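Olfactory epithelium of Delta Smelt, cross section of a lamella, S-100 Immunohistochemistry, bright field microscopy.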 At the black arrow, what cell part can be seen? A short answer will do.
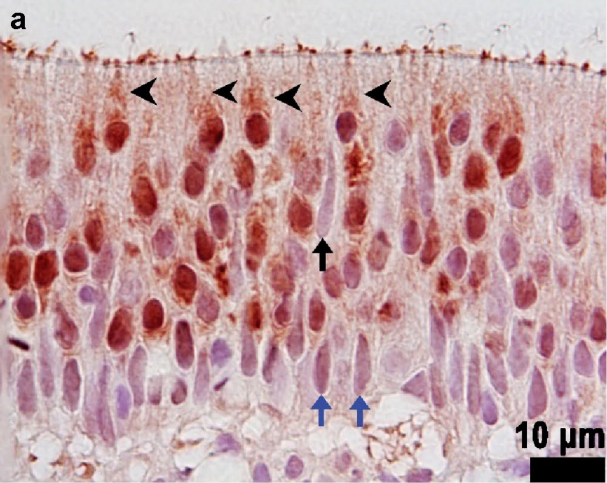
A: Nucleus of a sustentacular cell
